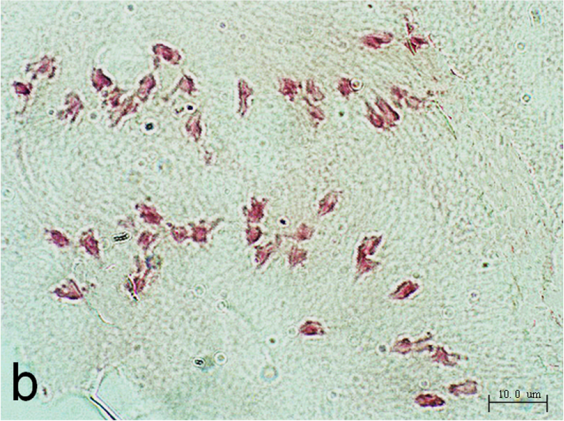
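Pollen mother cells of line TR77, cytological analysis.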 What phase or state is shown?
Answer: Meiotic anaphase I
